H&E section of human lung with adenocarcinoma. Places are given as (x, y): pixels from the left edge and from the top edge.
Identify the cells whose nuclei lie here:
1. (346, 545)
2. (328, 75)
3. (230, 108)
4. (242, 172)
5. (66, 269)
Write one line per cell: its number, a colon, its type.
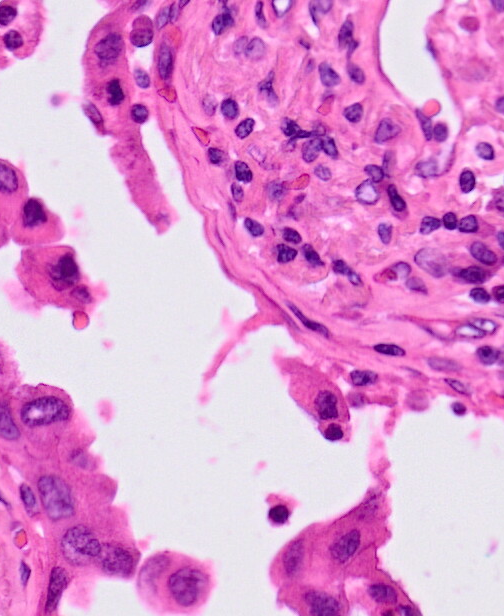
1: carcinoma cell
2: lymphocyte
3: lymphocyte
4: lymphocyte
5: carcinoma cell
